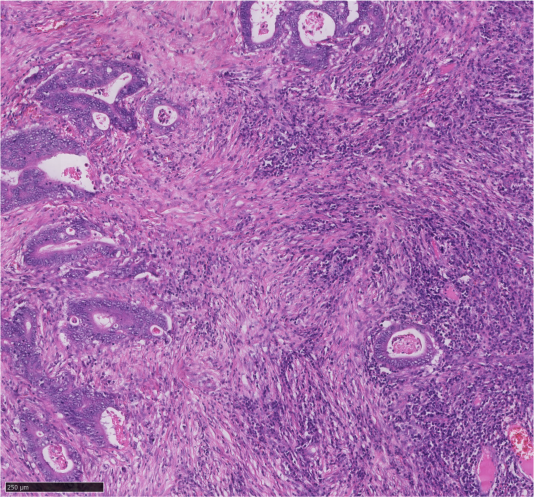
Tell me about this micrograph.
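Here we are at the invasive edge of a tumour, where cancer cell islands meet a dense inflammatory cell infiltrate. On the left, the tumour forms gland-like islands: tall cells with elongated, crowded purple nuclei lining open spaces, some holding pink debris. Between and around them the stroma is packed with small cells whose nuclei are dark, round and have scant cytoplasm, forming dark purple sheets and streaks among paler pink spindle-shaped stromal cells. A few blood vessels with red cells lie in the lower right.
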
